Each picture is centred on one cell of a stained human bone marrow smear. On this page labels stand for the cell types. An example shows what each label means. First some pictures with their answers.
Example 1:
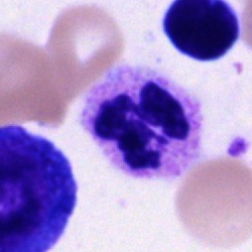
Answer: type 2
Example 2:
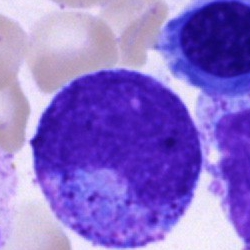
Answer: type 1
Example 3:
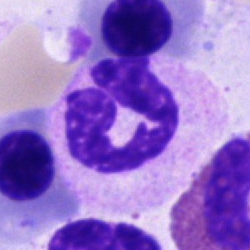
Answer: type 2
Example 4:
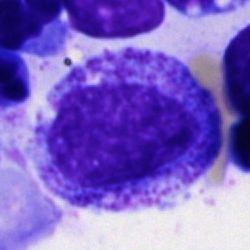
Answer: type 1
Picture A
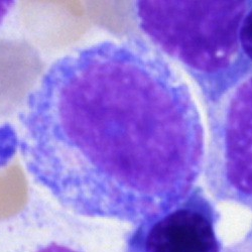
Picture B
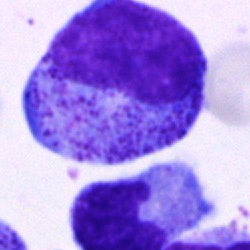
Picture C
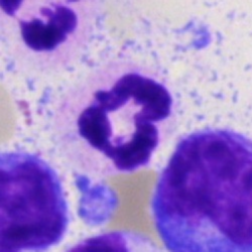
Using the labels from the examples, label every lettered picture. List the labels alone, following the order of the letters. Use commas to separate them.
type 1, type 1, type 2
